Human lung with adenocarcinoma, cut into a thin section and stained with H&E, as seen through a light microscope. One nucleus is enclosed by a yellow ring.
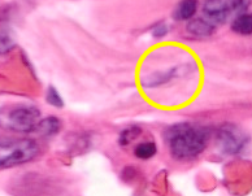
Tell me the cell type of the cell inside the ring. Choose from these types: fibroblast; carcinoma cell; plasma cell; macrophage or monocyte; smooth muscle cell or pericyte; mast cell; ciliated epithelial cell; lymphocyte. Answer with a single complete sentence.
Students should answer that the cell inside the ring is a fibroblast.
